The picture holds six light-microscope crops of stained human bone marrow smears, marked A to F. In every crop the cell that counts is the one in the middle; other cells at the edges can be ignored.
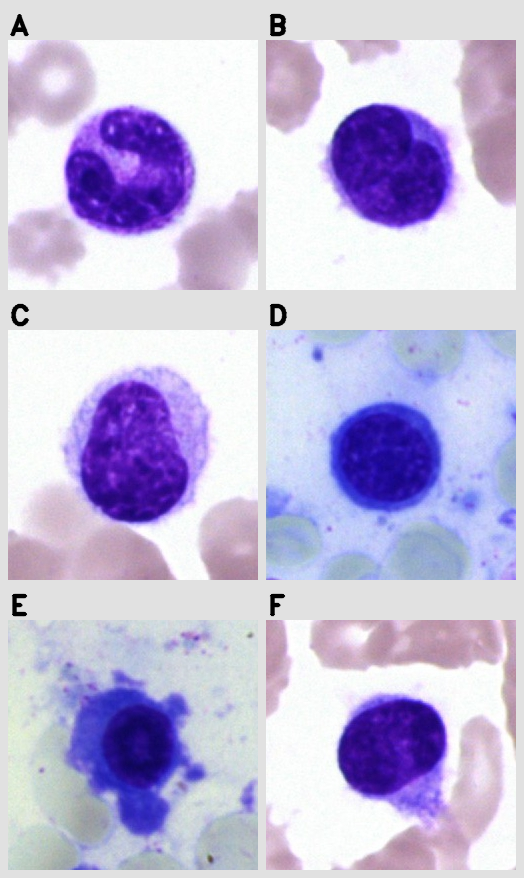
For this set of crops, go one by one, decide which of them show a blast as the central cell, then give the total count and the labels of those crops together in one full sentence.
Not one crop in the set shows blasts, giving a count of zero.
